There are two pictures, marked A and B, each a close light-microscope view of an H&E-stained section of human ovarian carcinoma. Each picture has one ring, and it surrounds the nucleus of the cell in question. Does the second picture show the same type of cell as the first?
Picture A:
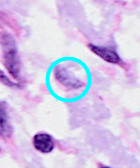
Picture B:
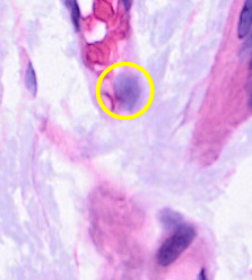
no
